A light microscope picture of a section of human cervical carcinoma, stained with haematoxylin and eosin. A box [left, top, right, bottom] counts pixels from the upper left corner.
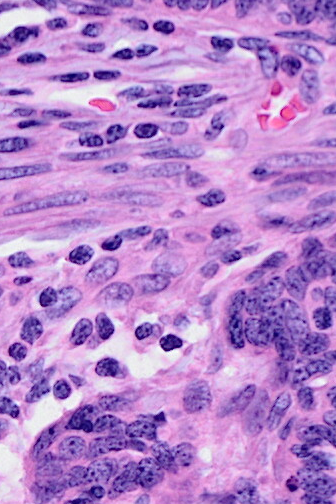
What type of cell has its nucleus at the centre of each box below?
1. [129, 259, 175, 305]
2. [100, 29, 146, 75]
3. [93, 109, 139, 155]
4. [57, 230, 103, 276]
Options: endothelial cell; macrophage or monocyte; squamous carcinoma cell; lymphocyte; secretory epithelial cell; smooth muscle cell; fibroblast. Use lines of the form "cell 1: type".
cell 1: endothelial cell
cell 2: lymphocyte
cell 3: lymphocyte
cell 4: lymphocyte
